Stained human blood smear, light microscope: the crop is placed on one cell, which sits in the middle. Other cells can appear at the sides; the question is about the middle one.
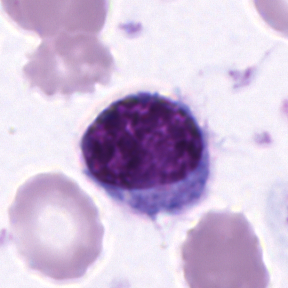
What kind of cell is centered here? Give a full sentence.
By classification, the middle cell of this crop is a plasma cell.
